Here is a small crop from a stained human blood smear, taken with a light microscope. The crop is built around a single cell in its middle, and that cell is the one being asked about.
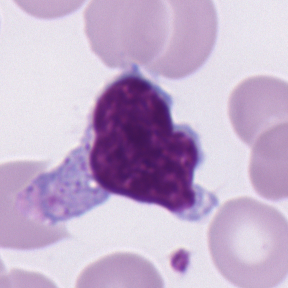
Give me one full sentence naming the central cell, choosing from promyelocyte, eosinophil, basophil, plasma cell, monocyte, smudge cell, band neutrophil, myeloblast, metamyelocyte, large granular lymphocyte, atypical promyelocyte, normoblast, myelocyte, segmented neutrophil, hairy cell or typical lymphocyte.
Looking at the middle of the crop, the cell there is a large granular lymphocyte.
